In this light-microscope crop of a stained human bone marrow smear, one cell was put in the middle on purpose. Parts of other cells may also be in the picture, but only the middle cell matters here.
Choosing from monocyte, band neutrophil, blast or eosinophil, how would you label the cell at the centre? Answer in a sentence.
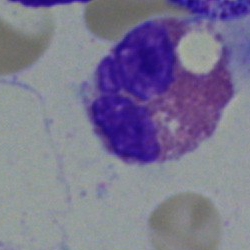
For this crop, the central cell is an eosinophil.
